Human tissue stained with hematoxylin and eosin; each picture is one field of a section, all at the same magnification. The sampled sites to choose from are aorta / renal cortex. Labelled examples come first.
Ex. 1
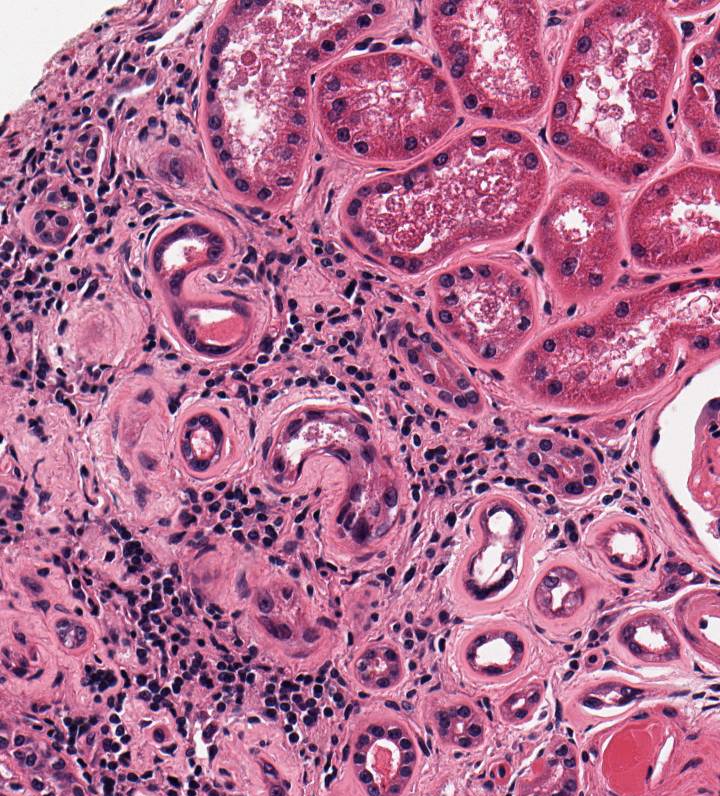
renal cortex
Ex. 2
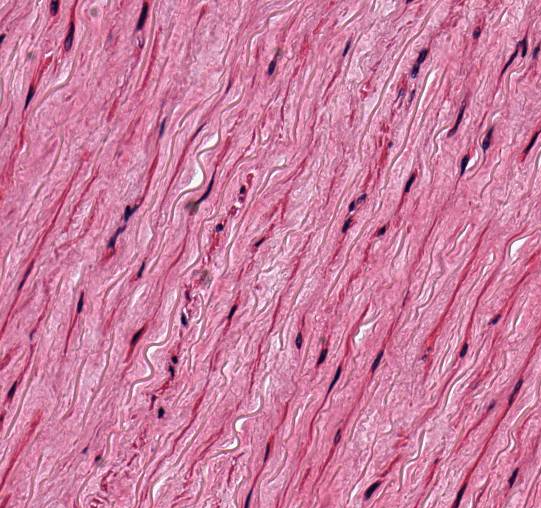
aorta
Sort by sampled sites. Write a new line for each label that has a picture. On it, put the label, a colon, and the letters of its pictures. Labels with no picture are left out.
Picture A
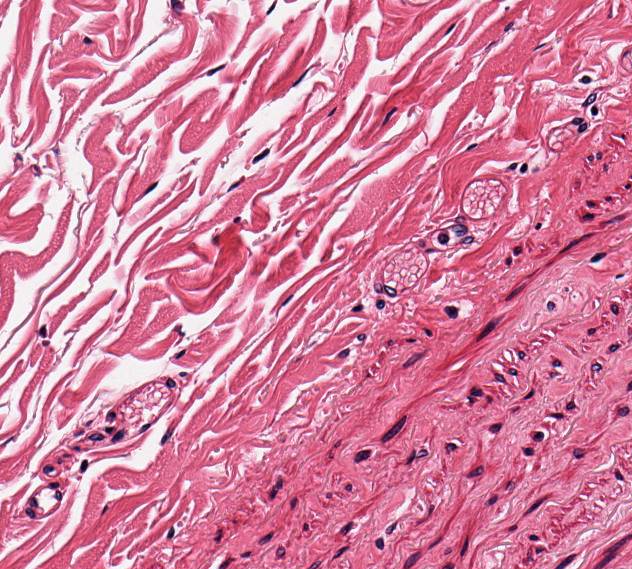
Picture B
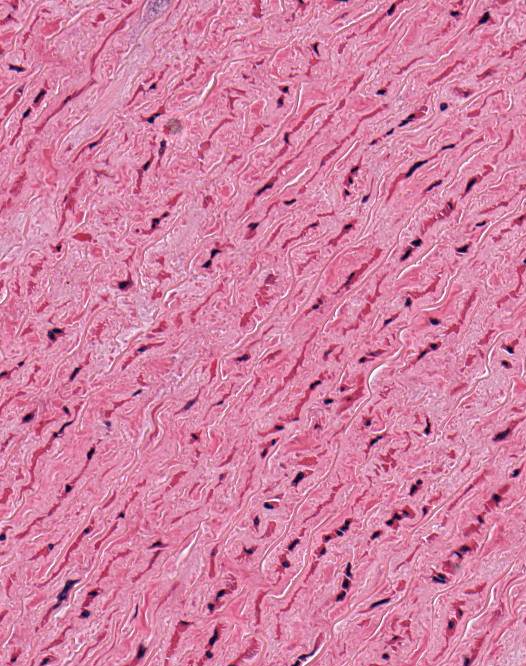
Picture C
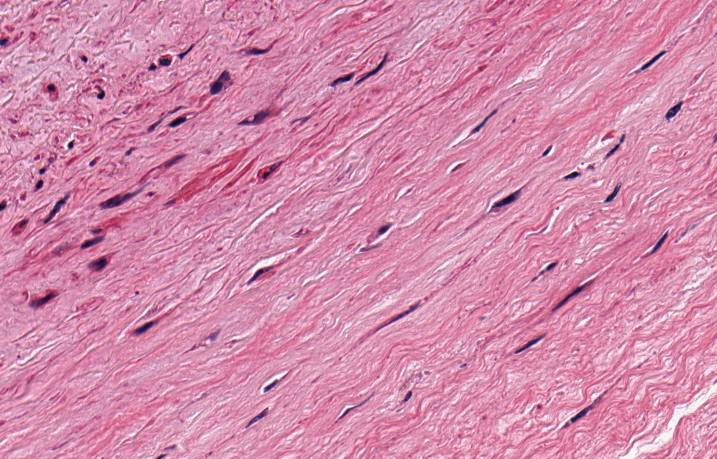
aorta: A, B, C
